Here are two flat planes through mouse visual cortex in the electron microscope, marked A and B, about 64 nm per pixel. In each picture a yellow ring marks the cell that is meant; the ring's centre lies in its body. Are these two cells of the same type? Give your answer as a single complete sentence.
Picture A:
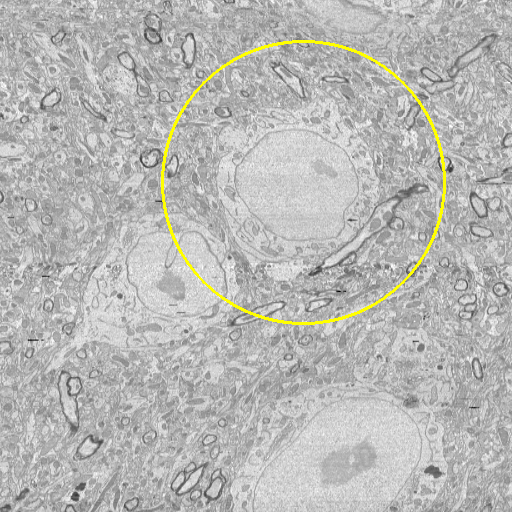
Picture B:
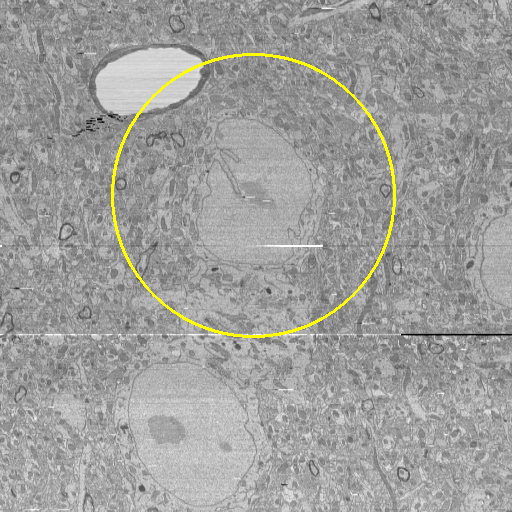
No. Picture A shows an excitatory neuron, but picture B shows an inhibitory neuron.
